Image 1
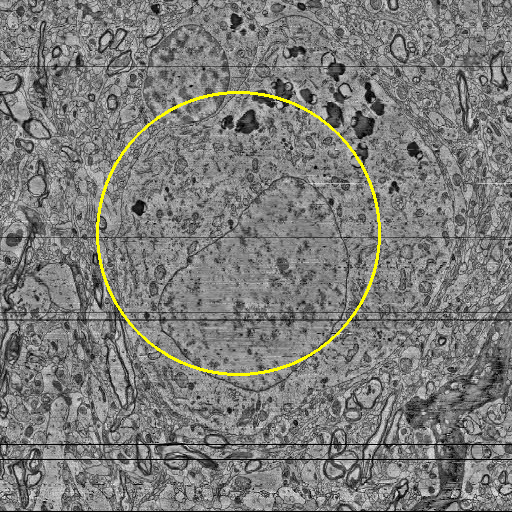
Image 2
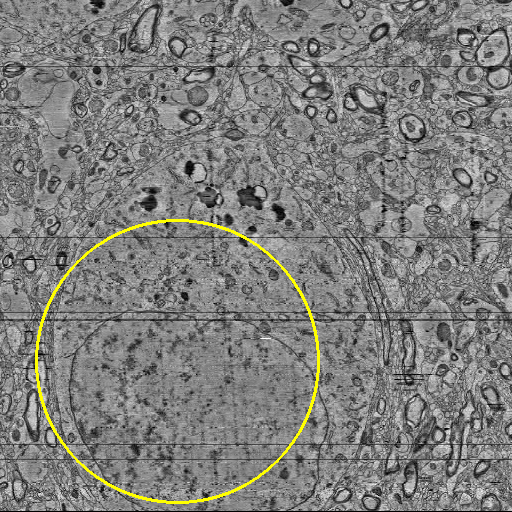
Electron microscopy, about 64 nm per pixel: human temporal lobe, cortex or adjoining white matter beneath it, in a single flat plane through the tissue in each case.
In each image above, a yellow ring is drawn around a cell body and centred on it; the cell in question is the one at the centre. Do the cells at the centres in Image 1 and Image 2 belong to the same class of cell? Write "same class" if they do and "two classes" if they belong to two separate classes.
same class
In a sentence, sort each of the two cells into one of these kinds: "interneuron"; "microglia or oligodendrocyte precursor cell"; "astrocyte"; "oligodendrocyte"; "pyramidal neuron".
Each of the two pictures has a pyramidal neuron at the ring centre.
